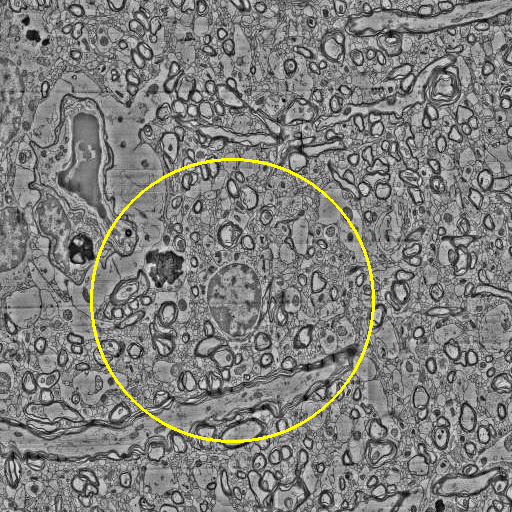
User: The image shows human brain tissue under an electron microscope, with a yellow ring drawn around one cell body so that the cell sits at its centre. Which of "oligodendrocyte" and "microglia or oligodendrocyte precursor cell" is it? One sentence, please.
At the centre of the ring sits a microglial cell or oligodendrocyte precursor cell.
